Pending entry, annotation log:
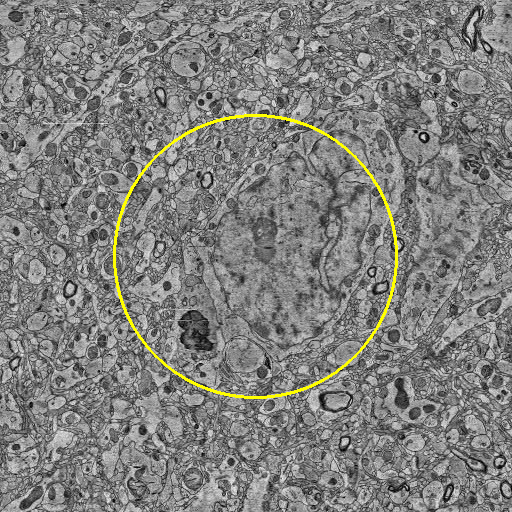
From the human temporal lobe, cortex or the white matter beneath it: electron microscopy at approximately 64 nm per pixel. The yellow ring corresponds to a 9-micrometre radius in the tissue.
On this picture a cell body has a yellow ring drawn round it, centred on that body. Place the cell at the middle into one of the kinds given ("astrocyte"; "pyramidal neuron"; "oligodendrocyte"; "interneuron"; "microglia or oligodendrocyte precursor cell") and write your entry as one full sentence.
The cell body at the middle of the yellow ring belongs to an interneuron.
